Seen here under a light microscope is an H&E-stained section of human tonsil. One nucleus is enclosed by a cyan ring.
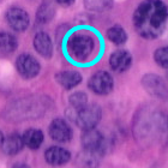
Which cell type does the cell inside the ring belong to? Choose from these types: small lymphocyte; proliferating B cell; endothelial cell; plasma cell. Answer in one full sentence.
In cell-type terms, the cell inside the ring is a plasma cell.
